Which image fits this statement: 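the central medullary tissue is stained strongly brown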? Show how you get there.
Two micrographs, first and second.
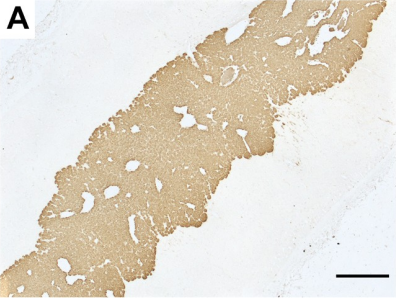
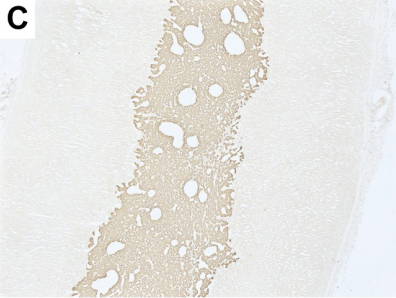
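First image: the central band is a clear, even brown against the pale surrounding tissue.
Conclusion: the first image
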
